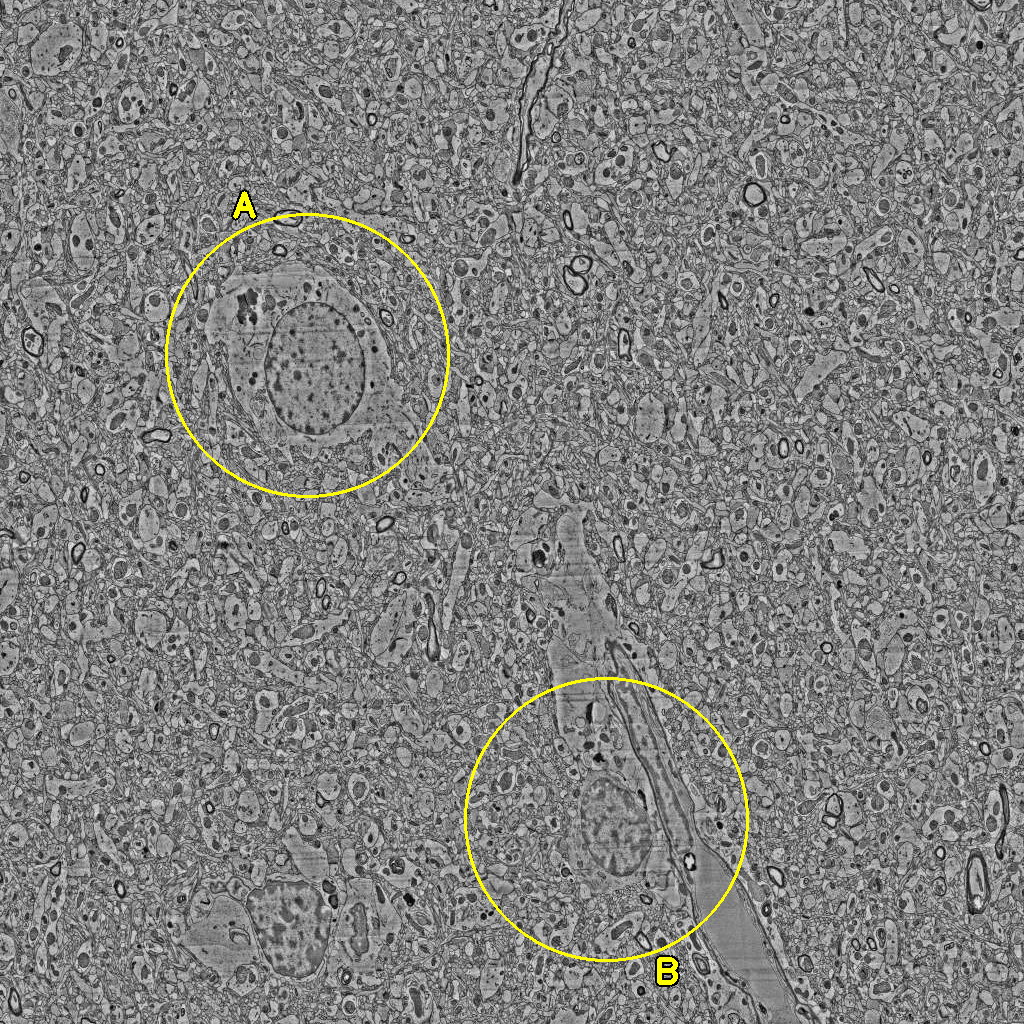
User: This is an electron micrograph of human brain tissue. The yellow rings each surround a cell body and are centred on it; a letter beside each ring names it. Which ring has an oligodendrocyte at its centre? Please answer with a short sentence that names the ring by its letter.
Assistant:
Ring B has it at its centre.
